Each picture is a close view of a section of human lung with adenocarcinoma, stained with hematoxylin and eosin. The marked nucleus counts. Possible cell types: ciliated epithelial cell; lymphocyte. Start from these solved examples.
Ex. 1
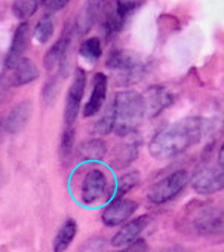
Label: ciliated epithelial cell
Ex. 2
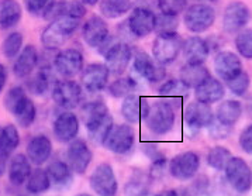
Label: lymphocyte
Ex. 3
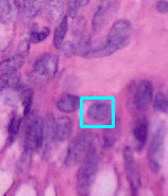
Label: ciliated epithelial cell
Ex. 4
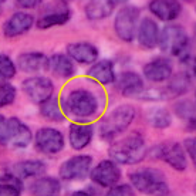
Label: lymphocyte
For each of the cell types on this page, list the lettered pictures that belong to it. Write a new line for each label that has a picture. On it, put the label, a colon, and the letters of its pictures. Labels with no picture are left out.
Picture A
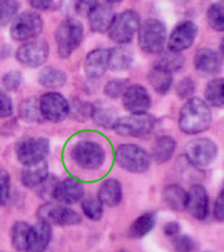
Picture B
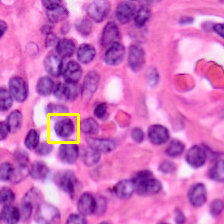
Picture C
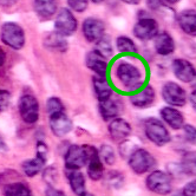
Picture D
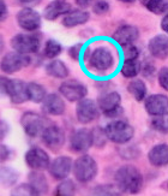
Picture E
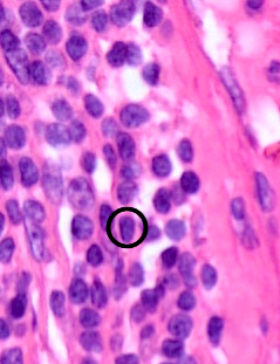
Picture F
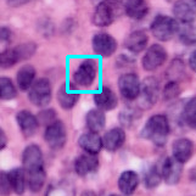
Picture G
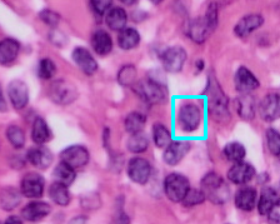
lymphocyte: A, B, C, D, E, F, G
